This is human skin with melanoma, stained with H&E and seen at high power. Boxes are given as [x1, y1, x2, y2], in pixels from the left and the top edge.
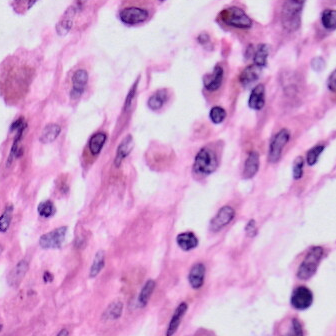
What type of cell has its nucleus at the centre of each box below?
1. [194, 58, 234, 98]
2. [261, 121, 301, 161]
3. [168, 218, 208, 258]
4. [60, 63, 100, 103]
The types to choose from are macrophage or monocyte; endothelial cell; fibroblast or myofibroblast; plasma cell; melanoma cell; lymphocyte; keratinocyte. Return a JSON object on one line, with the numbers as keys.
{"1": "macrophage or monocyte", "2": "macrophage or monocyte", "3": "lymphocyte", "4": "macrophage or monocyte"}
